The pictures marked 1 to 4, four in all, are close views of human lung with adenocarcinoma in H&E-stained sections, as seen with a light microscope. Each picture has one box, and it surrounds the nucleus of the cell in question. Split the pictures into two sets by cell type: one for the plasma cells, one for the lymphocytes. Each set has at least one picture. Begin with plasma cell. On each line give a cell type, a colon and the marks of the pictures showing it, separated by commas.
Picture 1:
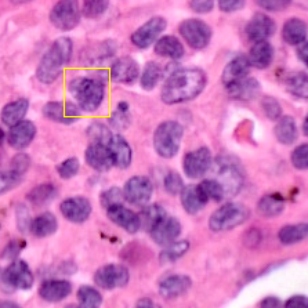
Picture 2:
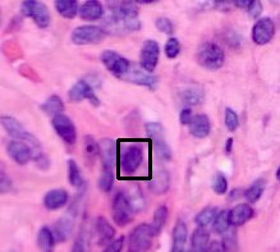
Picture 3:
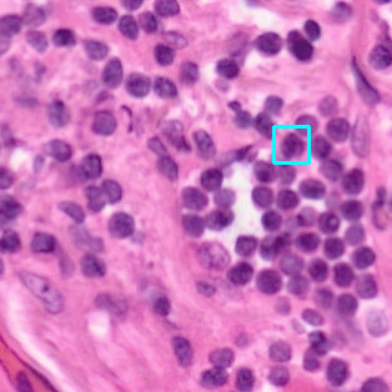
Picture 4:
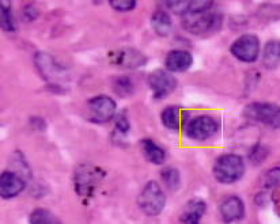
plasma cell: 2
lymphocyte: 1, 3, 4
